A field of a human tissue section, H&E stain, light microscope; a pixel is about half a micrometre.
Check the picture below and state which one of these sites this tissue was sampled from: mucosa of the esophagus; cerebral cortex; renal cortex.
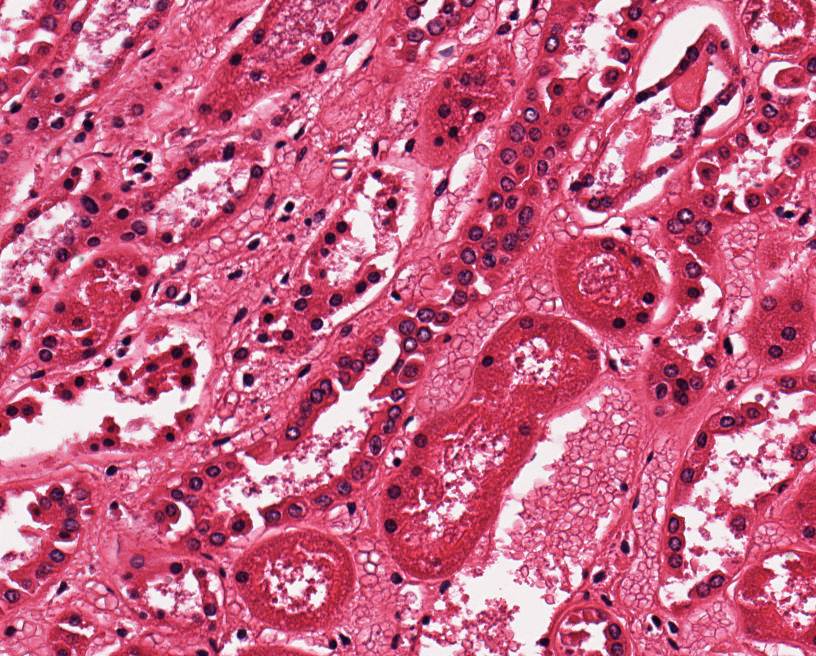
renal cortex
